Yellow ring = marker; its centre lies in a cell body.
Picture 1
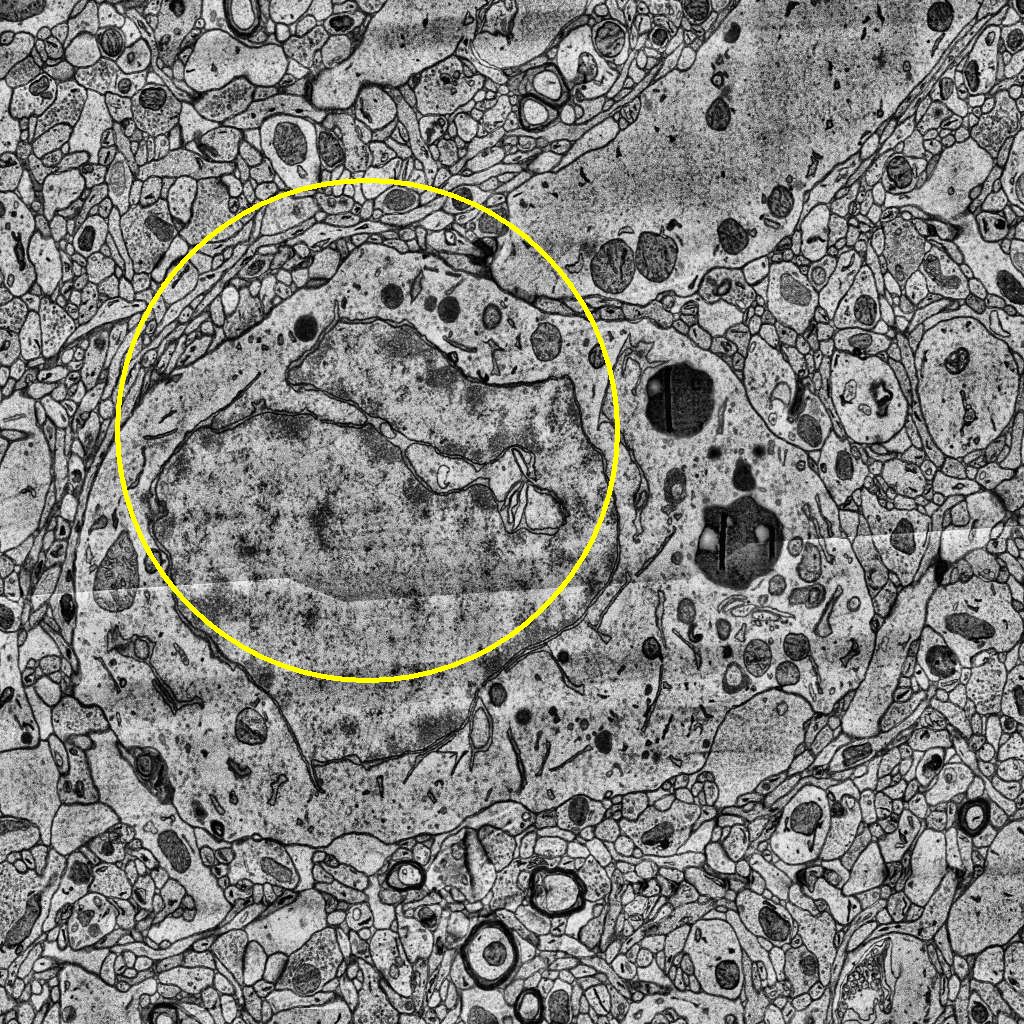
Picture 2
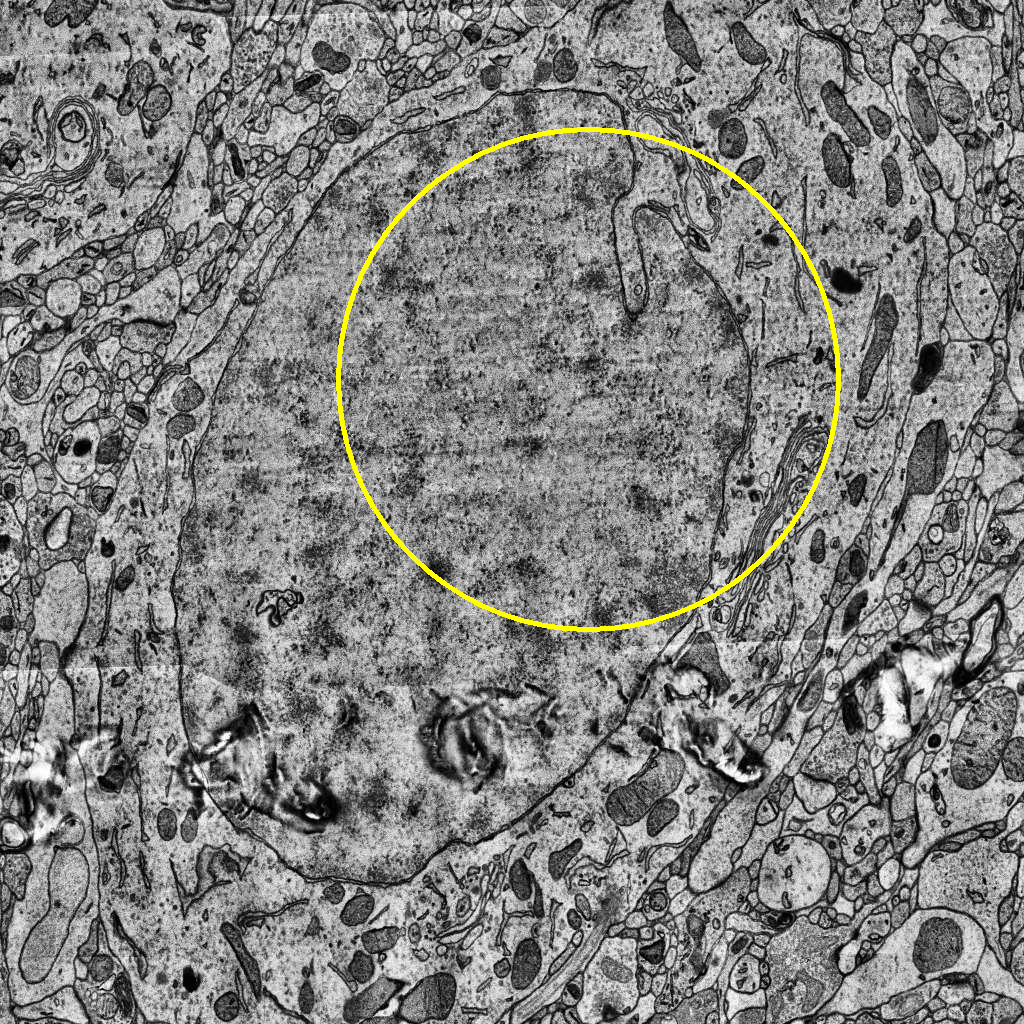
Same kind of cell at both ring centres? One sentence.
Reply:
Yes, they are the same kind of cell.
